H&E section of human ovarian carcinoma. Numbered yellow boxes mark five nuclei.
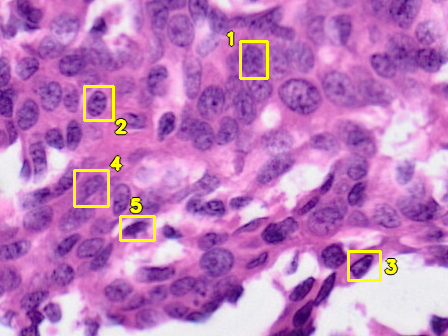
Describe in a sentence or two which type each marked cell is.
Cell 1 is a carcinoma cell, cell 2 is a macrophage or monocyte, cell 3 is a macrophage or monocyte, cell 4 is a carcinoma cell and cell 5 is a carcinoma cell.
